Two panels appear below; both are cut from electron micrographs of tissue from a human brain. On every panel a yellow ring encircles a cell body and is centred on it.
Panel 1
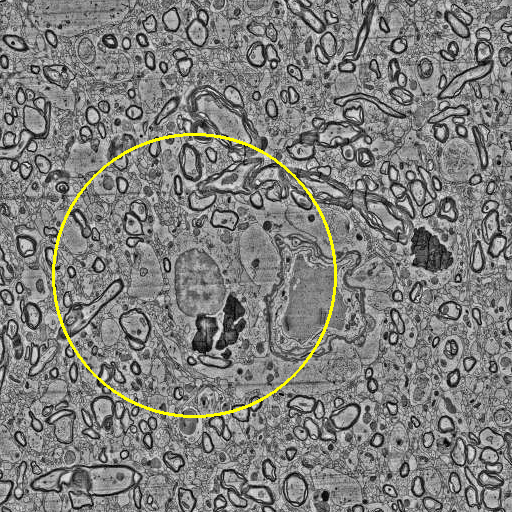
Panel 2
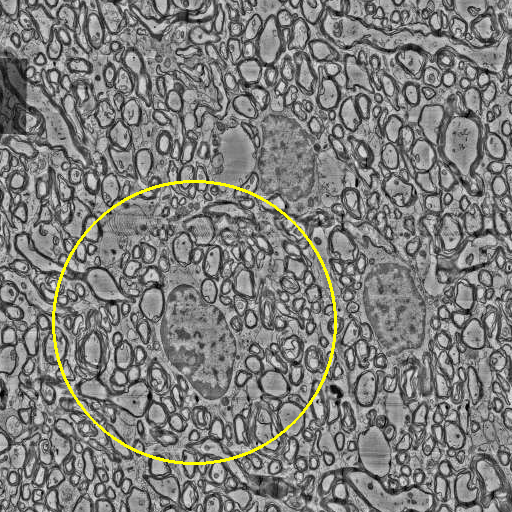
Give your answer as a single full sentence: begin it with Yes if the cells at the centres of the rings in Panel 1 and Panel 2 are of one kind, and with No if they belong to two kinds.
No, the cells in the middle of the rings in Panels 1 and 2 are of two kinds.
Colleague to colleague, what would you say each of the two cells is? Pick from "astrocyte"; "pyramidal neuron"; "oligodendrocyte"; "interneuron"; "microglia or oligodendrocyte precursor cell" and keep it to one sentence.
The cell in the first picture is an oligodendrocyte; the second picture's cell is a microglial cell or oligodendrocyte precursor cell.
